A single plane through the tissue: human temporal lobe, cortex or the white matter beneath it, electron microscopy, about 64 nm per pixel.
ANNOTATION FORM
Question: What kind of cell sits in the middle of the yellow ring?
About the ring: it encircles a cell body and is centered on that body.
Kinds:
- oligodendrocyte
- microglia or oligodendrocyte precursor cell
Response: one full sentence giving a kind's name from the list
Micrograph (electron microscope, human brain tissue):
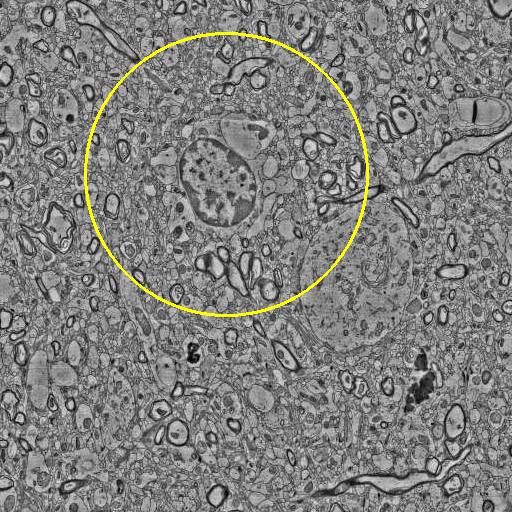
The kind of cell found at the center of the yellow ring in the micrograph is a microglial cell or oligodendrocyte precursor cell.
